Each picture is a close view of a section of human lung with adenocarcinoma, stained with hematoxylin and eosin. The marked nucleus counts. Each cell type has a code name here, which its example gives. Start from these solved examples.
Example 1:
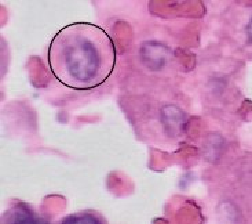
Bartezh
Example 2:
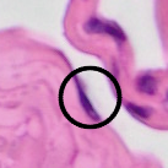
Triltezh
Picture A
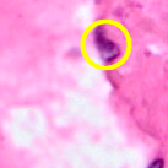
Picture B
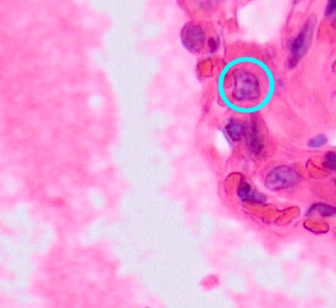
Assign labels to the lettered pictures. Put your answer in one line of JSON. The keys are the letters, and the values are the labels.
{"A": "Triltezh", "B": "Bartezh"}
